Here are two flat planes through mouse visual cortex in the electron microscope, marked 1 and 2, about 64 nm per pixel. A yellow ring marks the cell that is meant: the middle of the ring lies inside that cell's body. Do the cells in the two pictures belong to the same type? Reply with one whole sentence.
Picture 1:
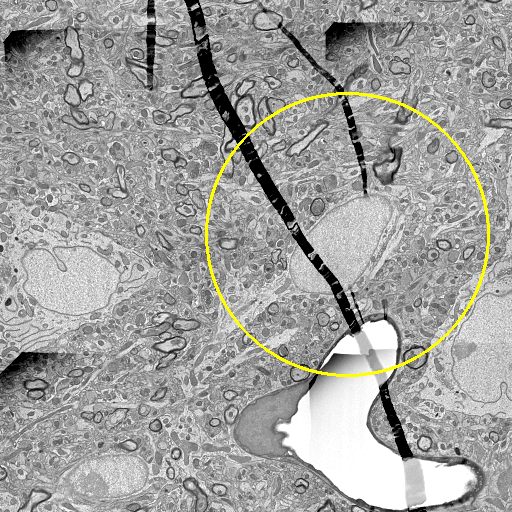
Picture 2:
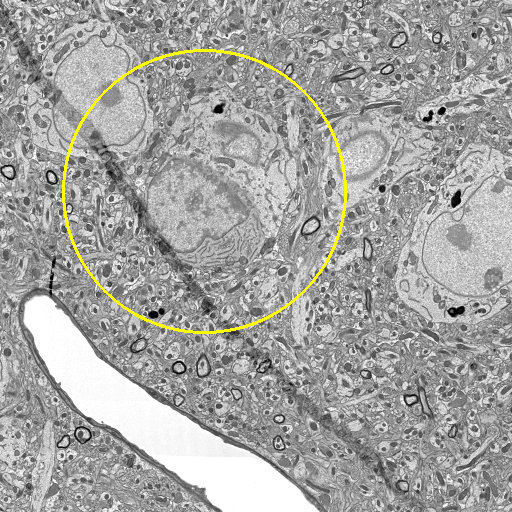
No, they differ: the cell is an astrocyte in picture 1 and an oligodendrocyte in picture 2.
